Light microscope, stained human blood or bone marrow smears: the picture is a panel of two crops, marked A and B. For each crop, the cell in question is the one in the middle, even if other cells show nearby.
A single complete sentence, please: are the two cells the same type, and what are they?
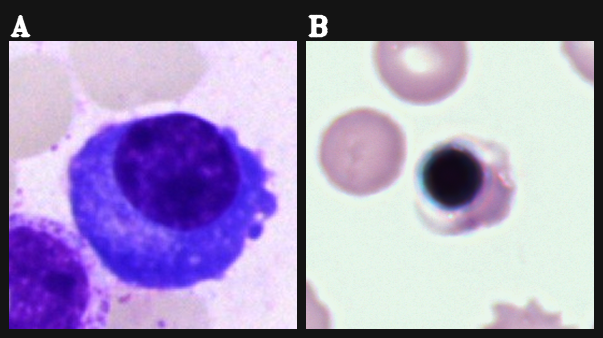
No, crop A shows a plasma cell and crop B shows a normoblast.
